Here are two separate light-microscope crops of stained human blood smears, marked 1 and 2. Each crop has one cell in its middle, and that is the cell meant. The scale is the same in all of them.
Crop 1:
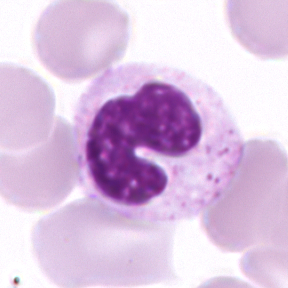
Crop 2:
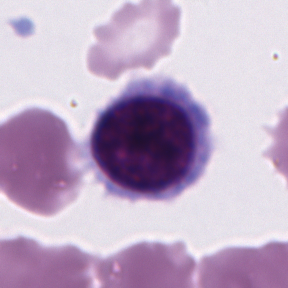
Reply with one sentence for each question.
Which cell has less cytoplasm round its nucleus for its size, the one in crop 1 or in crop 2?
In crop 2 the nucleus takes up the larger part of its cell.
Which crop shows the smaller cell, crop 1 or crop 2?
Crop 2 holds the smaller cell, since the cell in crop 1 covers about 2 times as much area.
